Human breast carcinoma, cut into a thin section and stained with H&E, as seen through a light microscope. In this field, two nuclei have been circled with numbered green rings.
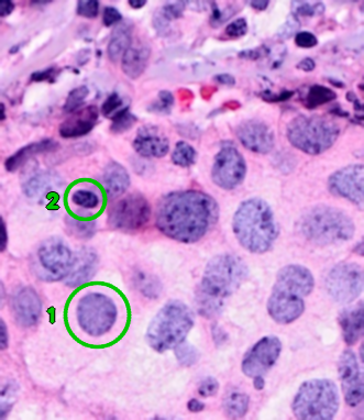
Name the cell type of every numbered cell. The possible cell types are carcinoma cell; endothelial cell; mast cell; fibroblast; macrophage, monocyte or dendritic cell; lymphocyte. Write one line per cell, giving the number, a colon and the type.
1: carcinoma cell
2: lymphocyte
